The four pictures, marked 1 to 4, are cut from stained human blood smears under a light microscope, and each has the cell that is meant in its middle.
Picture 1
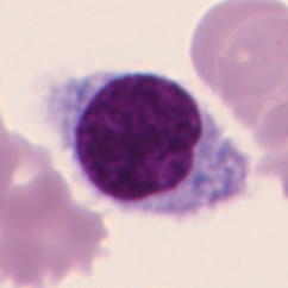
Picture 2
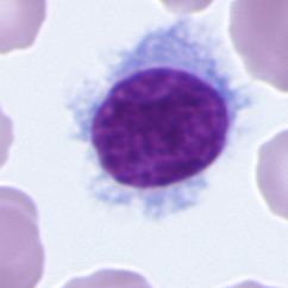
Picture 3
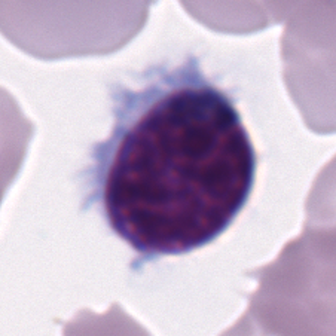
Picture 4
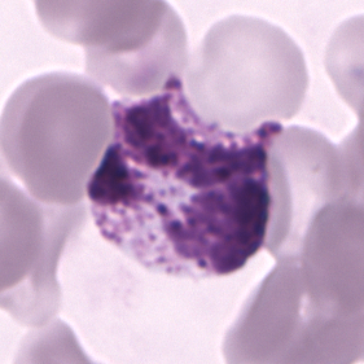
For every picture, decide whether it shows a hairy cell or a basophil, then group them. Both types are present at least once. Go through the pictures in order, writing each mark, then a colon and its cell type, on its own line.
1: hairy cell
2: hairy cell
3: hairy cell
4: basophil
